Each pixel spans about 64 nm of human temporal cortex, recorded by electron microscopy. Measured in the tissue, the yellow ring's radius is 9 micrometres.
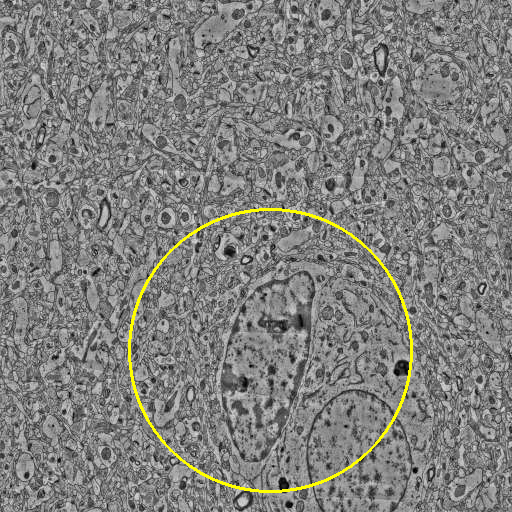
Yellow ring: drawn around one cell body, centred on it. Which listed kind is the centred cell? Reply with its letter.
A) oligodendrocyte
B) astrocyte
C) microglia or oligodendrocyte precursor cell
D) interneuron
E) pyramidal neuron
C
